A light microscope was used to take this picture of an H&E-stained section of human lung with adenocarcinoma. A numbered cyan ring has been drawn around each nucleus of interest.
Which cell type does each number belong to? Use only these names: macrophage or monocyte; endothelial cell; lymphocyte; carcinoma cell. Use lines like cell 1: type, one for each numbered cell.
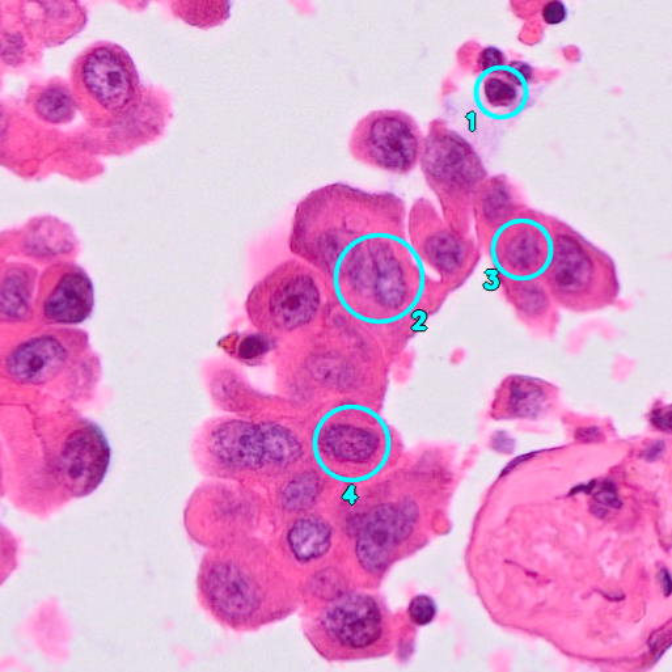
cell 1: lymphocyte
cell 2: carcinoma cell
cell 3: carcinoma cell
cell 4: carcinoma cell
